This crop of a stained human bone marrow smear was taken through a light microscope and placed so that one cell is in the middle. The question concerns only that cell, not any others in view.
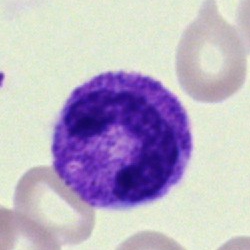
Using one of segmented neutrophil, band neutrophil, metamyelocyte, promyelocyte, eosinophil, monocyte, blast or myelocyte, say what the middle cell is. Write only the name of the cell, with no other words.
band neutrophil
